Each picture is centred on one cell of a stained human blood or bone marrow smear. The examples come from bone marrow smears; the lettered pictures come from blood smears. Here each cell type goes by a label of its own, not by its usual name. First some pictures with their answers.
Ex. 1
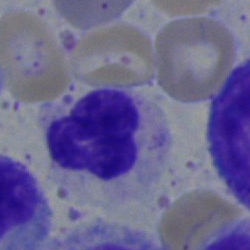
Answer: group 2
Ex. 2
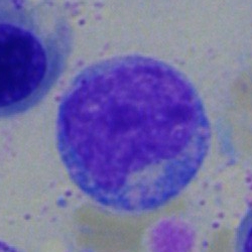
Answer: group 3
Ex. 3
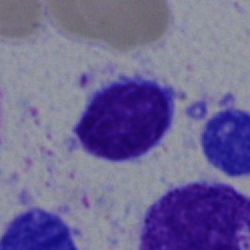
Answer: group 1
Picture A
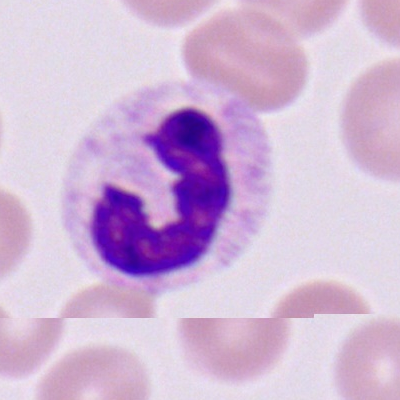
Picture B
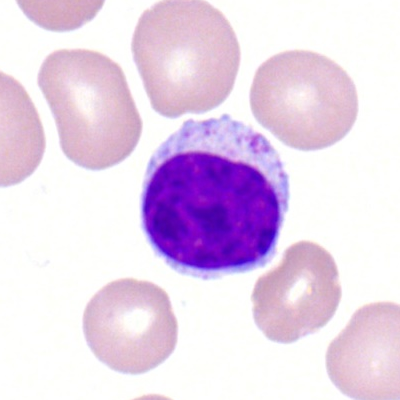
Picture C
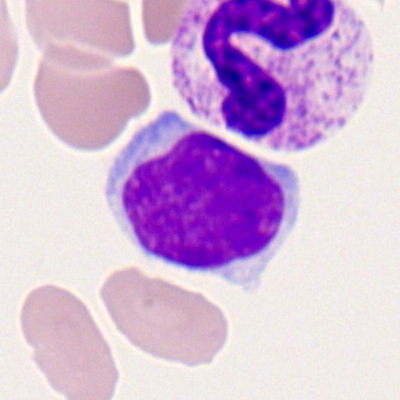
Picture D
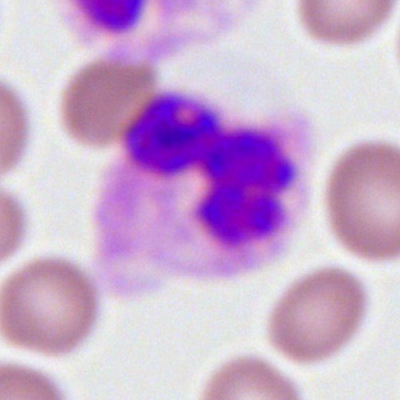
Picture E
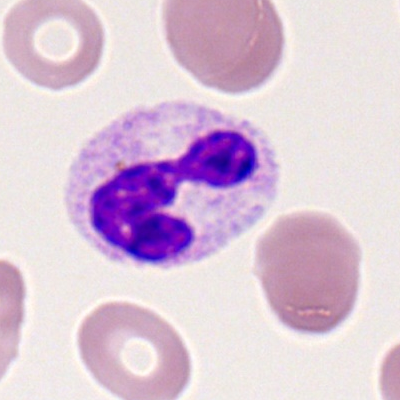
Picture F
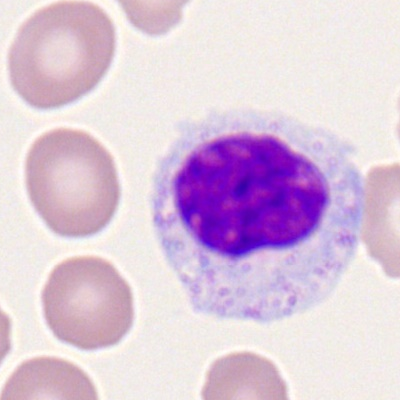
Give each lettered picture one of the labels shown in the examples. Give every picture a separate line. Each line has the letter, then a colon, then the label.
A: group 2
B: group 1
C: group 1
D: group 2
E: group 2
F: group 1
